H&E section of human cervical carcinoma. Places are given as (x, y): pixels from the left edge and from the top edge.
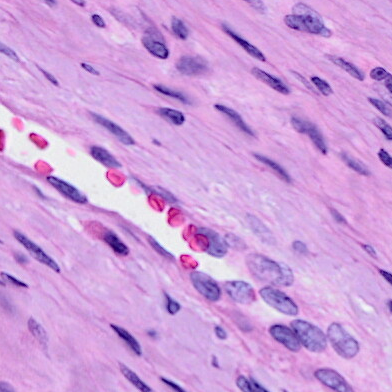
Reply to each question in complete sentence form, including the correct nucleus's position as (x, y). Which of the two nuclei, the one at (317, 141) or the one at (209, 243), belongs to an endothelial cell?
The nucleus at (209, 243) is attributed to an endothelial cell, unlike the other nucleus.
